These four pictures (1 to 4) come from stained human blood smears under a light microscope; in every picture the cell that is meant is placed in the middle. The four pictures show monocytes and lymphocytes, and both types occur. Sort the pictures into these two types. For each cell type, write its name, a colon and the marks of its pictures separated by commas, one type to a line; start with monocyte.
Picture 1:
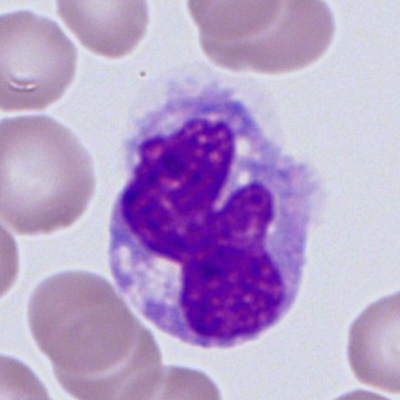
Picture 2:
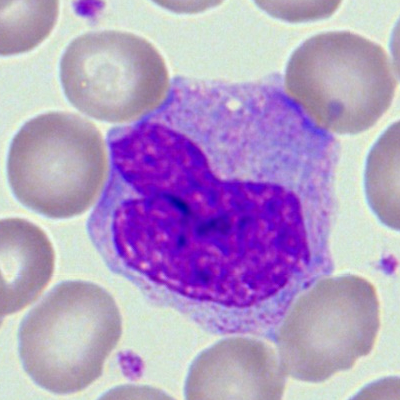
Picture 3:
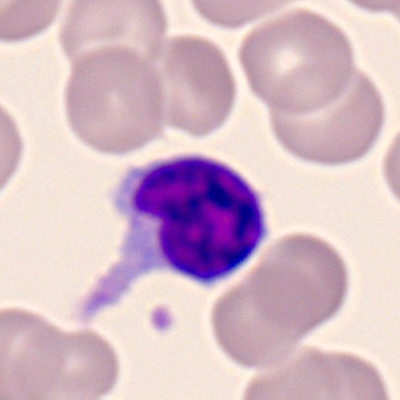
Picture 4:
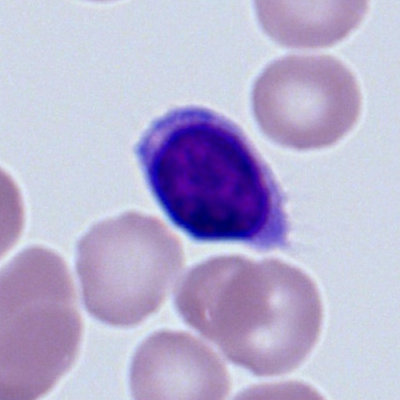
monocyte: 1, 2
lymphocyte: 3, 4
